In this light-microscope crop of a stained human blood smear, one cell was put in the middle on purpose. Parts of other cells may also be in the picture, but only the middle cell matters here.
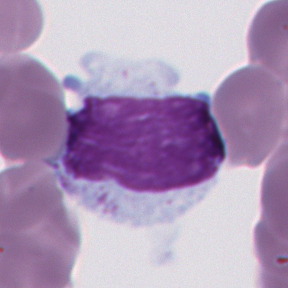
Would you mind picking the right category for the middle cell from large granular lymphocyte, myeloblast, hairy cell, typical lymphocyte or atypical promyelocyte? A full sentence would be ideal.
For this crop, the cell in the middle is a large granular lymphocyte.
